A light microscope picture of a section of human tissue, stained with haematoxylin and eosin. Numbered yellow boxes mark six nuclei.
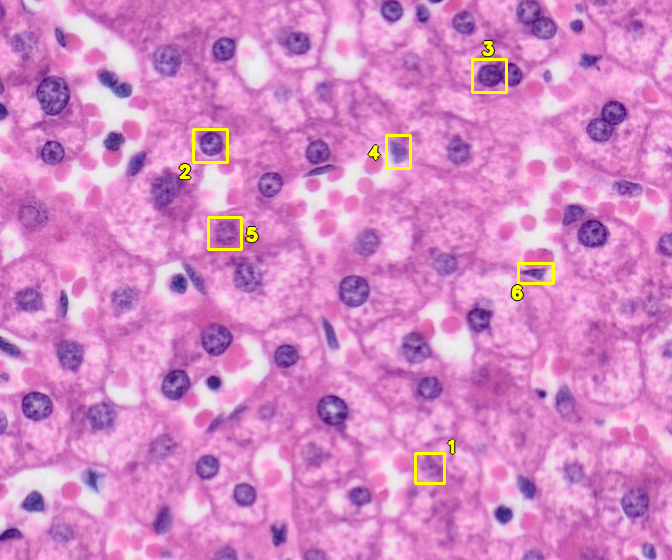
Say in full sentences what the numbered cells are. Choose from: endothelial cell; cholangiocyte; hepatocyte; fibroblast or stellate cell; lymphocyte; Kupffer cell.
Cells 1, 2, 3 and 5 are hepatocytes. Cells 4 and 6 are endothelial cells.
